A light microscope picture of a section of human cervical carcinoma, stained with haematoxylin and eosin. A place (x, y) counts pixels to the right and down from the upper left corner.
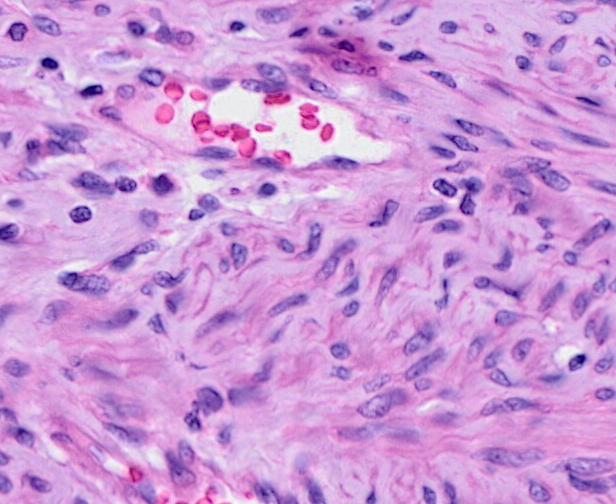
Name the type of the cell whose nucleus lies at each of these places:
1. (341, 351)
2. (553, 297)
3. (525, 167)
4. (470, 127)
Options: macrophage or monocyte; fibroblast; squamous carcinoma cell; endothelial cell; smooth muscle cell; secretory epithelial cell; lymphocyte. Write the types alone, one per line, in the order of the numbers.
smooth muscle cell
smooth muscle cell
smooth muscle cell
fibroblast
